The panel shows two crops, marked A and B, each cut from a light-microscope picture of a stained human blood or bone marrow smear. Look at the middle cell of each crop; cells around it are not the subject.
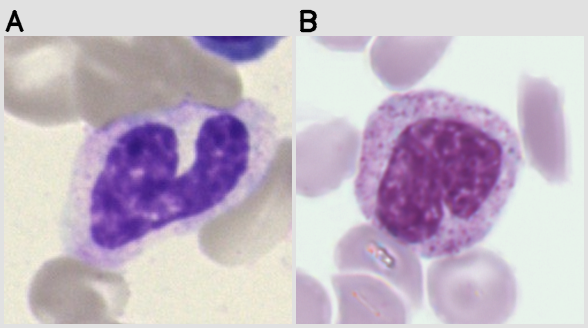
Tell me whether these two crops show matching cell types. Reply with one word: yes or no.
yes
